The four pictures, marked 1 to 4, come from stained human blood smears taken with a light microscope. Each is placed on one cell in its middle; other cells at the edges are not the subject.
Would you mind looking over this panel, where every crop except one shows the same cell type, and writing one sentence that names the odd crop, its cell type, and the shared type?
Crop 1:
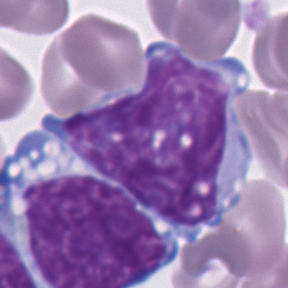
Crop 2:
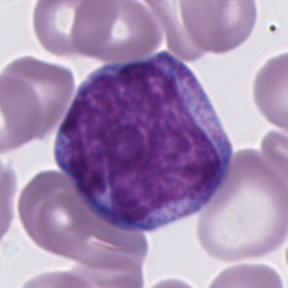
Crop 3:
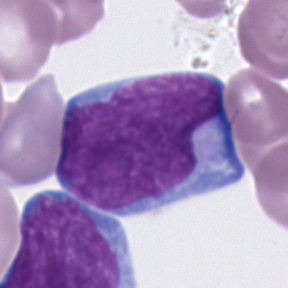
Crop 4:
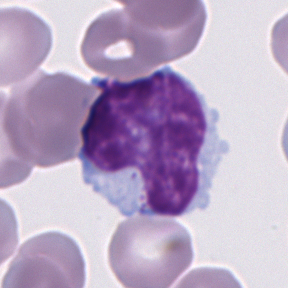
Identified in crop 2 is a promyelocyte, whereas the other crops all show myeloblasts.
